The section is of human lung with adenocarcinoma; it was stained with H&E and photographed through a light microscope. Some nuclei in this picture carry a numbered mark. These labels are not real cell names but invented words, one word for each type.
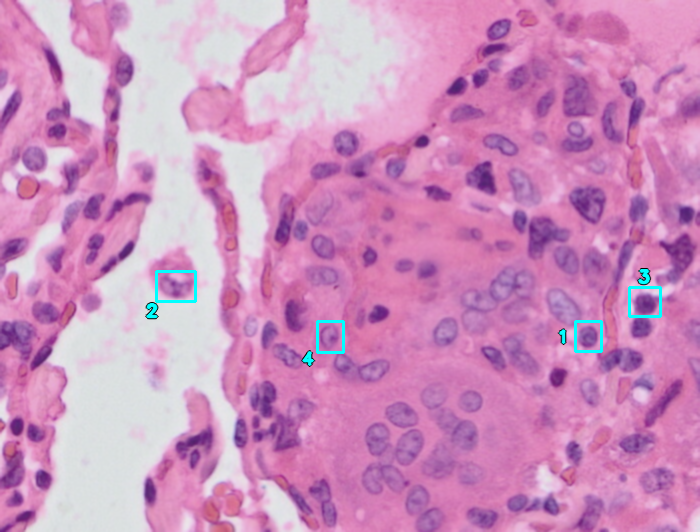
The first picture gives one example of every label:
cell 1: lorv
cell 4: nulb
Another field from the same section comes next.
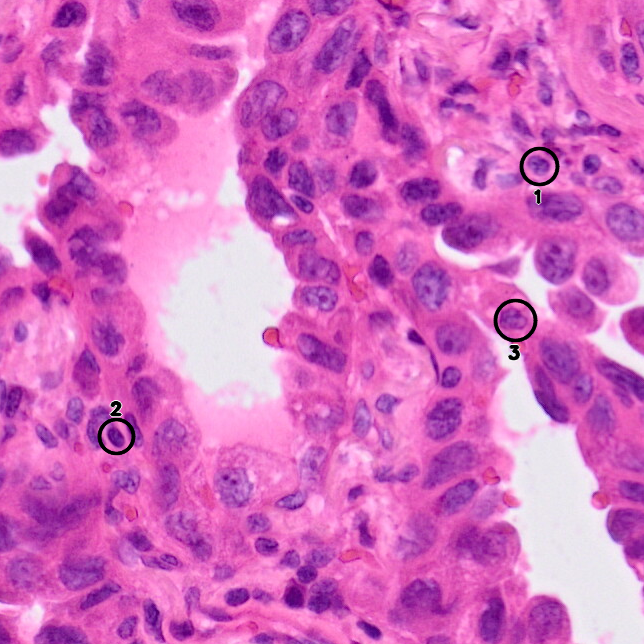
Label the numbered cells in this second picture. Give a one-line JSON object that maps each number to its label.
{"1": "lorv", "2": "lorv", "3": "nulb"}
